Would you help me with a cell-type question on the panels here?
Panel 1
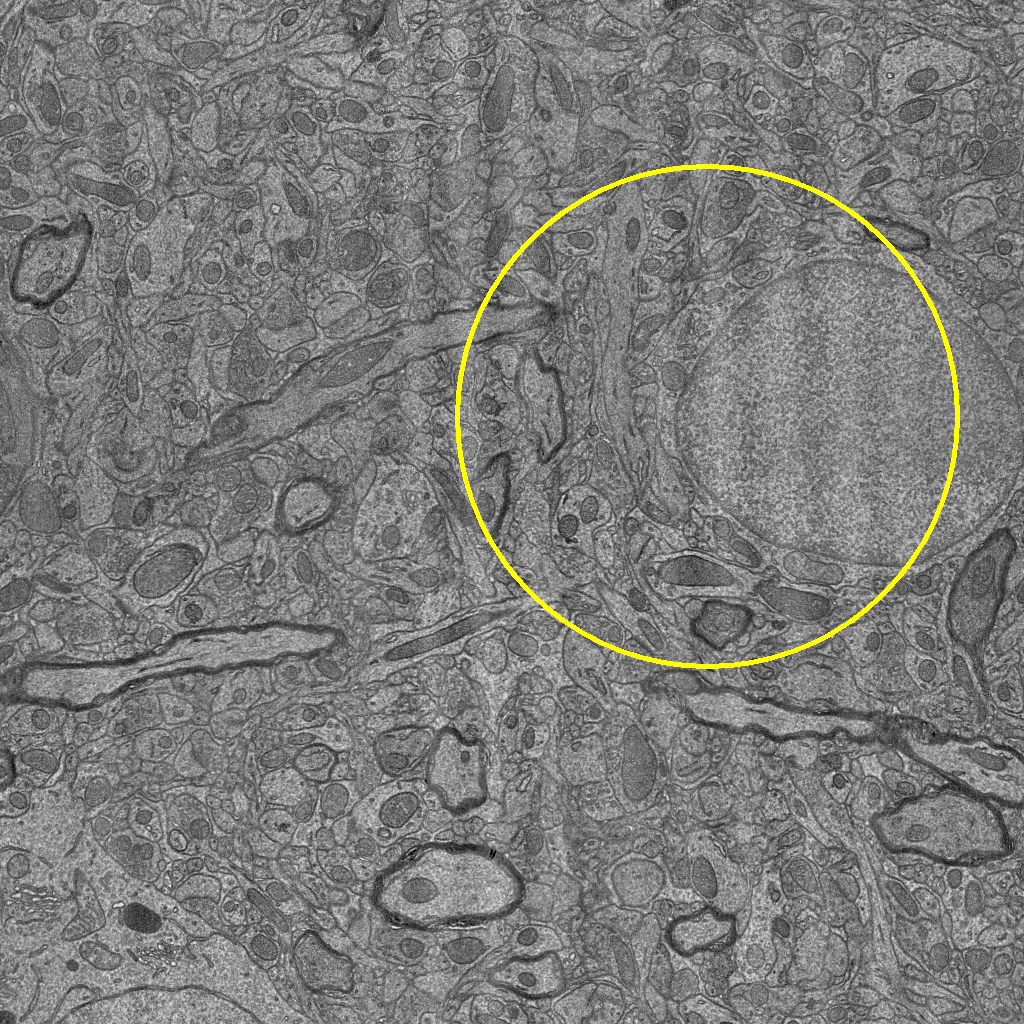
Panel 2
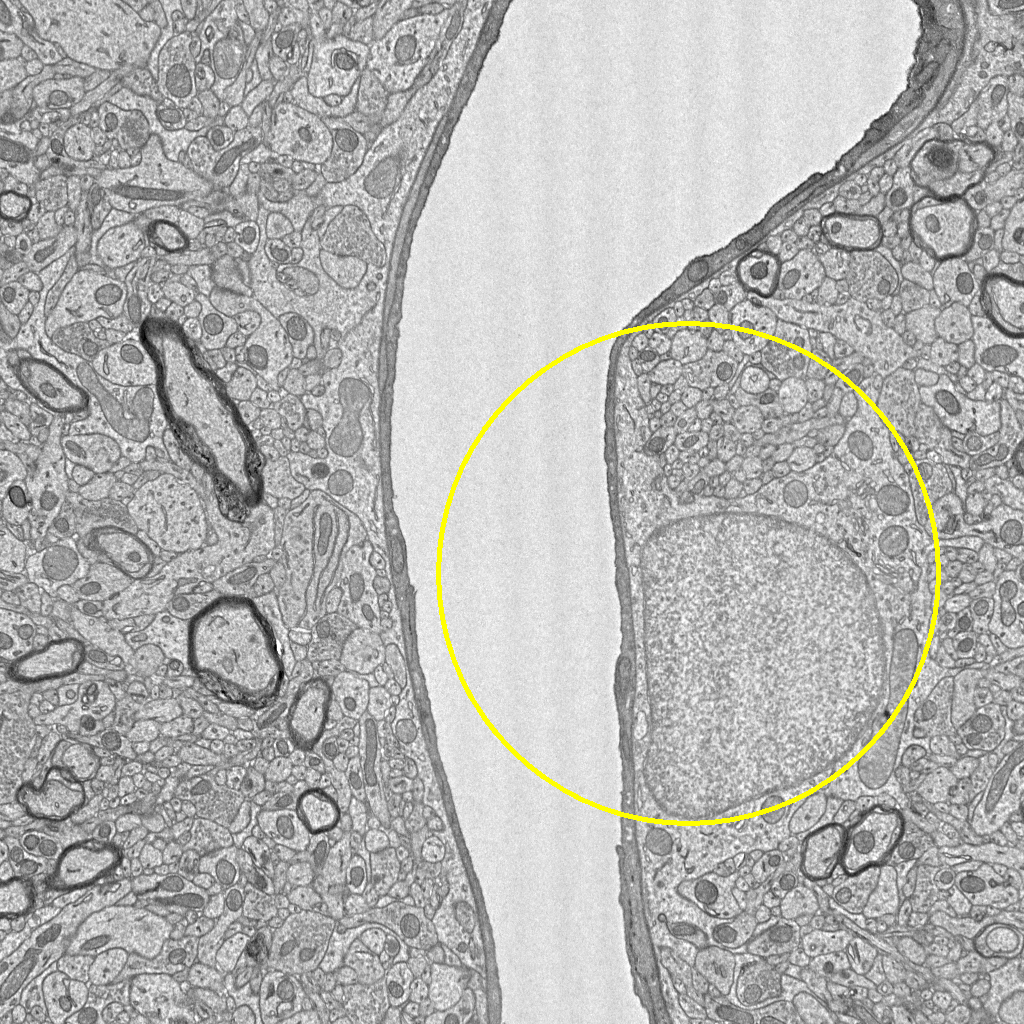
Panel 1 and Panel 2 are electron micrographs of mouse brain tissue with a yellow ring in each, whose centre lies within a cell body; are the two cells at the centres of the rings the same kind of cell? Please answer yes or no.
yes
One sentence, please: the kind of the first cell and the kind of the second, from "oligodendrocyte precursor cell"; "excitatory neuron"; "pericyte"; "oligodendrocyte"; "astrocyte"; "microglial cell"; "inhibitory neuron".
Each of the two pictures has an astrocyte at the ring centre.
